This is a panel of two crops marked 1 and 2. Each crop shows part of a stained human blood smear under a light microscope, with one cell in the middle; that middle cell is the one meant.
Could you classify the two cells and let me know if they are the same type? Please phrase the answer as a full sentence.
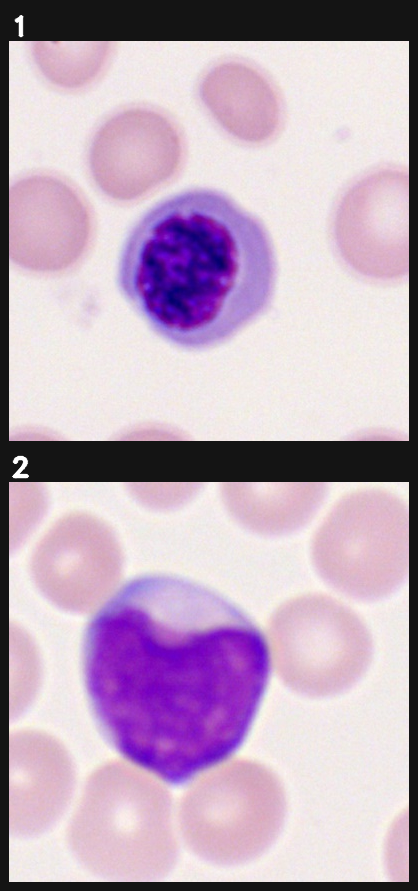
No, mark crop 1 as an erythroblast and crop 2 as a myeloblast.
